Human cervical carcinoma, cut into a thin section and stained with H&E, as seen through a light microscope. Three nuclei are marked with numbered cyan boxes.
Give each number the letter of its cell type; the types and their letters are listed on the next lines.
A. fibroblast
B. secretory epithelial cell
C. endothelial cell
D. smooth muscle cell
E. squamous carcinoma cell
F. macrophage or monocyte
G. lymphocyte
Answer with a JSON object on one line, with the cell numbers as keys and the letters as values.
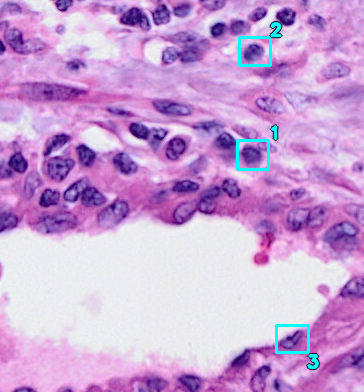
{"1": "G", "2": "G", "3": "C"}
